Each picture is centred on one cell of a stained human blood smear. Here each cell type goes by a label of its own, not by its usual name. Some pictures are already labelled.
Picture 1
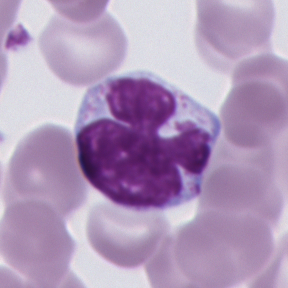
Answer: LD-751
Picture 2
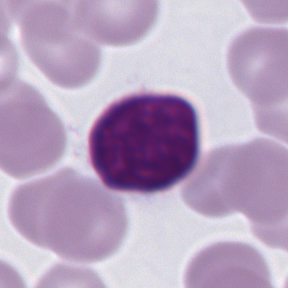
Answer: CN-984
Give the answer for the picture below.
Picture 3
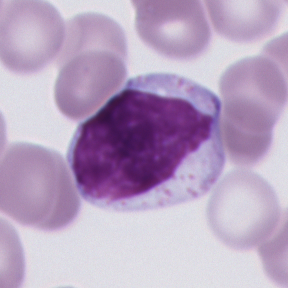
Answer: LD-751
